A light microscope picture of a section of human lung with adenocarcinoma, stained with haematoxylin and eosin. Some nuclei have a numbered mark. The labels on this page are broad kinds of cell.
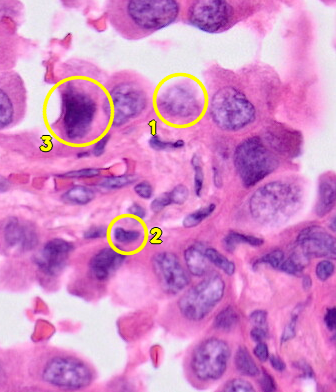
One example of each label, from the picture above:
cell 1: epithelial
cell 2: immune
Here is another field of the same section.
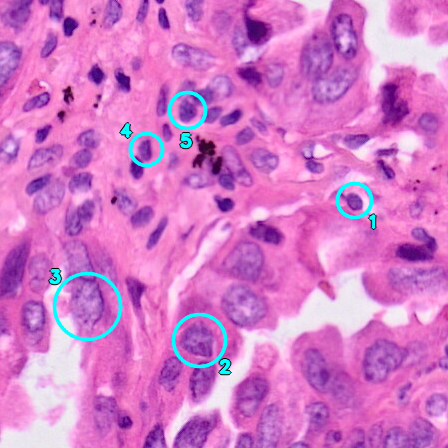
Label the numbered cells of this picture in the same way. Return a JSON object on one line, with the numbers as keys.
{"1": "immune", "2": "epithelial", "3": "epithelial", "4": "immune", "5": "immune"}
